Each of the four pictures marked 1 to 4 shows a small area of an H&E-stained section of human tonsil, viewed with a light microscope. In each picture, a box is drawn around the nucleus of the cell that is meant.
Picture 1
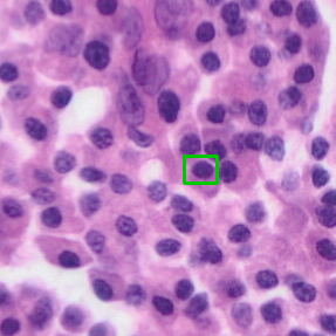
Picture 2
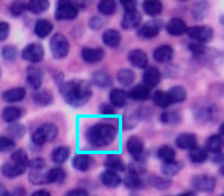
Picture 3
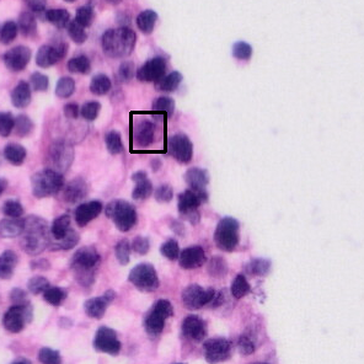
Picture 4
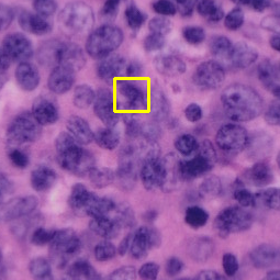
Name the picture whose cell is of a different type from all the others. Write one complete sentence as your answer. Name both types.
Picture 1 is the odd one out: it shows a plasma cell, while the others show proliferating B cells.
